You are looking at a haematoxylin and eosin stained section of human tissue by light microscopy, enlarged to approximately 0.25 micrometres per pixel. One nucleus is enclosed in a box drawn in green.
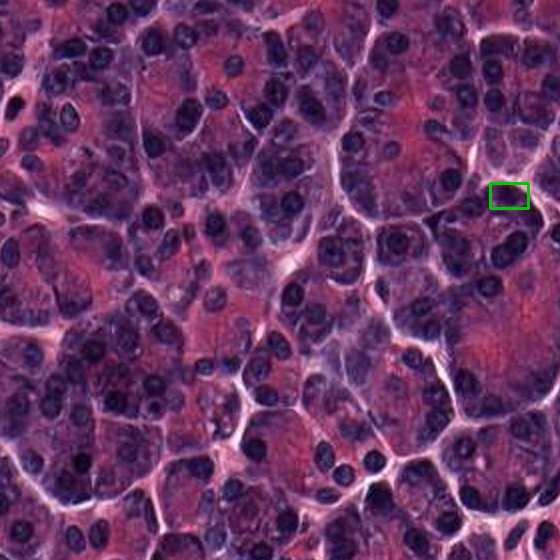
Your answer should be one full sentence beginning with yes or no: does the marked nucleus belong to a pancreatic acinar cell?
Yes, the marked nucleus is to be read as that of a pancreatic acinar cell.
